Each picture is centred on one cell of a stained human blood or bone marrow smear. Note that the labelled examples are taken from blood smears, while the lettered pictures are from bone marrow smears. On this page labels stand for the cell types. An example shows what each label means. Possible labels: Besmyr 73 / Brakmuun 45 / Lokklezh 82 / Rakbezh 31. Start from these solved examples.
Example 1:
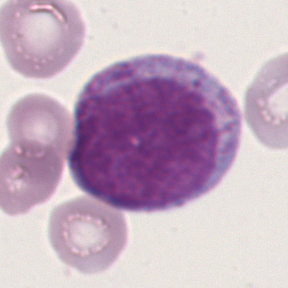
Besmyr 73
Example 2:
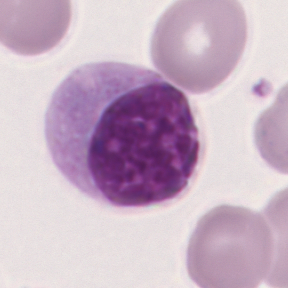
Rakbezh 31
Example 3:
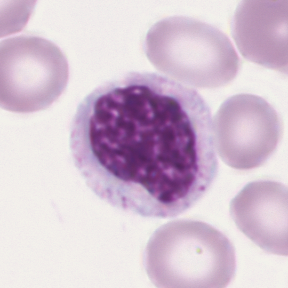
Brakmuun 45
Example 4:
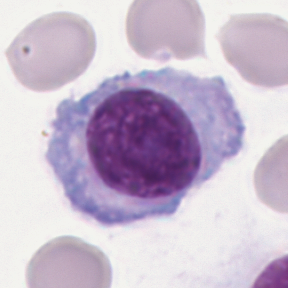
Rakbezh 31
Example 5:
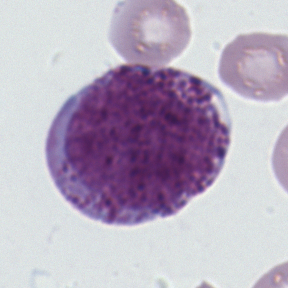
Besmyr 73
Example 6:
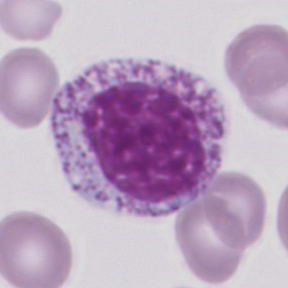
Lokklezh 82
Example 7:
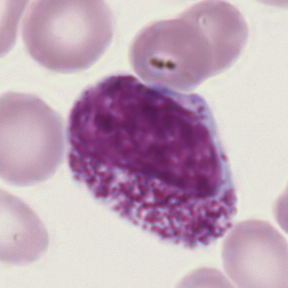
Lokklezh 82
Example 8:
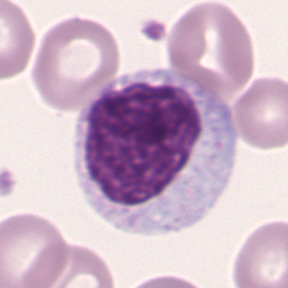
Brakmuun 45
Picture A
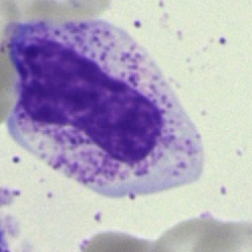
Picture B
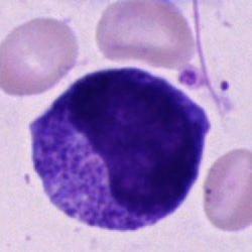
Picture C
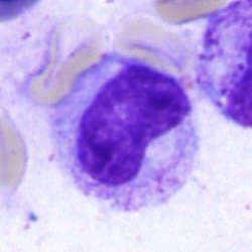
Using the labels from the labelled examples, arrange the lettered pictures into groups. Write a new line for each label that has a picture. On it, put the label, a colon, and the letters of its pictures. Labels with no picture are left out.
Besmyr 73: B
Brakmuun 45: A, C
